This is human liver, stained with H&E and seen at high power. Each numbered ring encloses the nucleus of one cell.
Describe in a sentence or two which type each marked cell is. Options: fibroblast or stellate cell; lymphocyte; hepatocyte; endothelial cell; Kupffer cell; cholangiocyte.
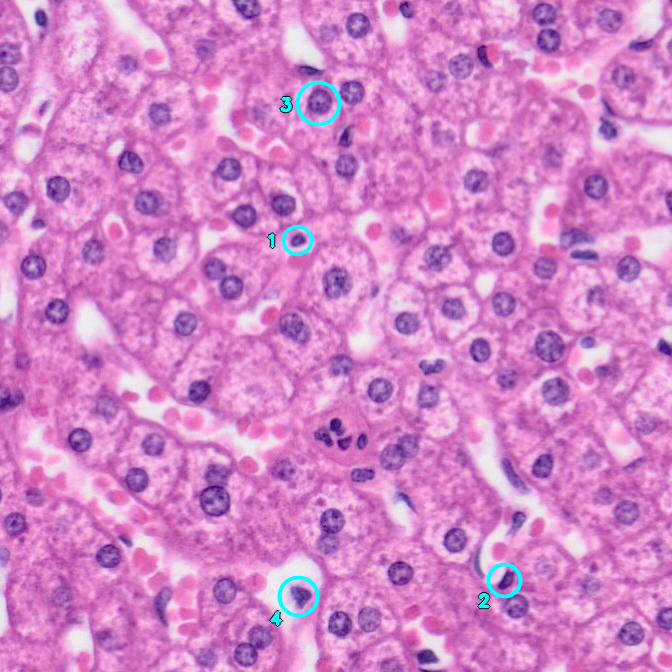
Cell 1 is a lymphocyte, cell 2 is a fibroblast or stellate cell, cell 3 is a hepatocyte and cell 4 is a lymphocyte.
